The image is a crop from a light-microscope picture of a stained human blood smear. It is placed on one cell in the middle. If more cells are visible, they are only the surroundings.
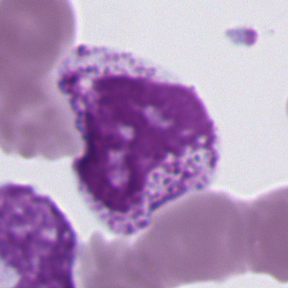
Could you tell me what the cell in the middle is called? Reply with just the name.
myelocyte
